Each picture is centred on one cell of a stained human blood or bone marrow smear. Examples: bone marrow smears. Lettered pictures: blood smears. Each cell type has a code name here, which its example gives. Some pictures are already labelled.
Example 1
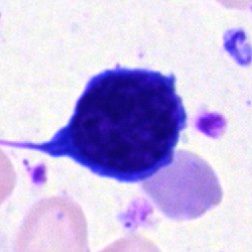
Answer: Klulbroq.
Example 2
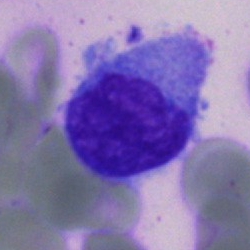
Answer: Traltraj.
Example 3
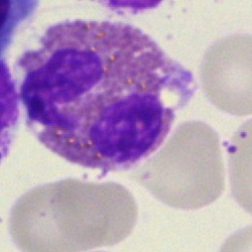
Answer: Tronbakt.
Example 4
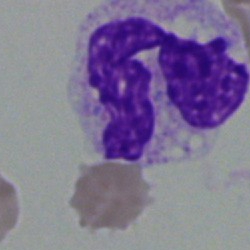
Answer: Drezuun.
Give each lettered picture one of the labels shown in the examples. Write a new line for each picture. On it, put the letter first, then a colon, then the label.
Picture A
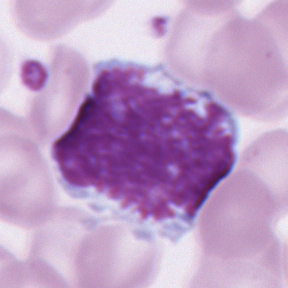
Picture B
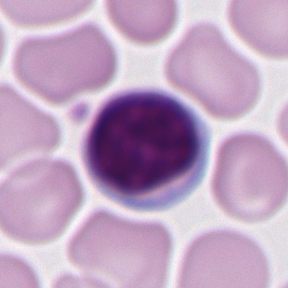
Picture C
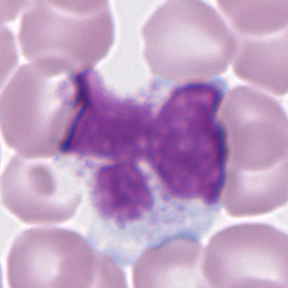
A: Traltraj.
B: Klulbroq.
C: Traltraj.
